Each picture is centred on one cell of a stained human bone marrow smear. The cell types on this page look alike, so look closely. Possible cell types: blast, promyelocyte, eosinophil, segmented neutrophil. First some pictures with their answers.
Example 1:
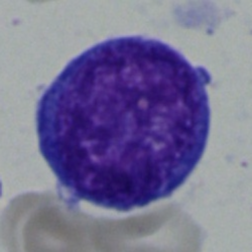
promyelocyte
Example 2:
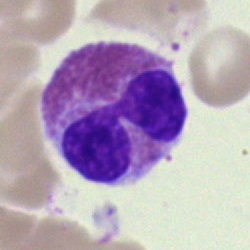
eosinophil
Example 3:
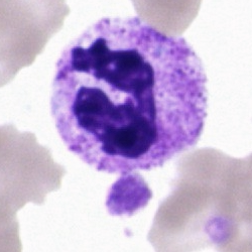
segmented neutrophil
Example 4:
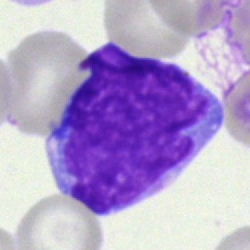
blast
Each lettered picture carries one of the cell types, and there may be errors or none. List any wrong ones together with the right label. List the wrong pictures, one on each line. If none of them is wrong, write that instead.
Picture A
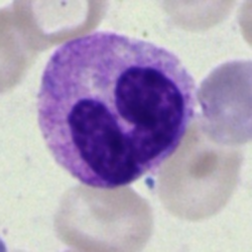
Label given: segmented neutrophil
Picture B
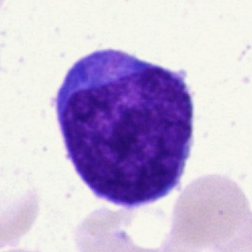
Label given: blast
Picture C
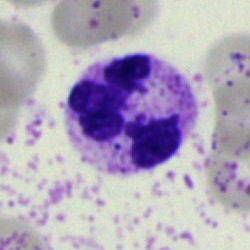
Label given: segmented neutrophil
All correct.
